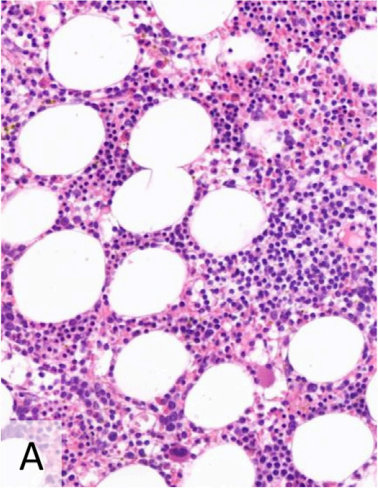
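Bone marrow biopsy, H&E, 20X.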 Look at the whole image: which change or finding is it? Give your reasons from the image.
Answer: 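Large areas between fat spaces are filled by sheets of uniform small cells with round dark nuclei.
Conclusion: infiltration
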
